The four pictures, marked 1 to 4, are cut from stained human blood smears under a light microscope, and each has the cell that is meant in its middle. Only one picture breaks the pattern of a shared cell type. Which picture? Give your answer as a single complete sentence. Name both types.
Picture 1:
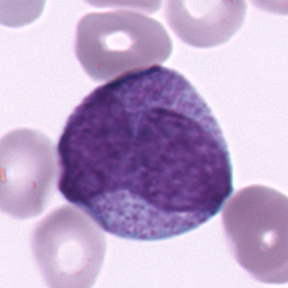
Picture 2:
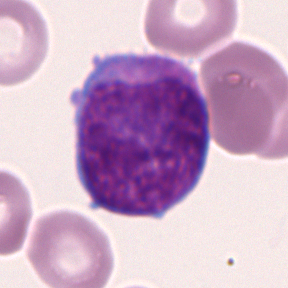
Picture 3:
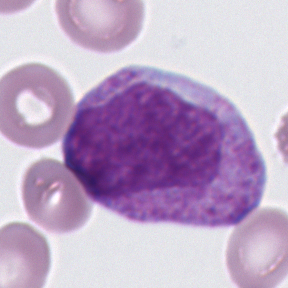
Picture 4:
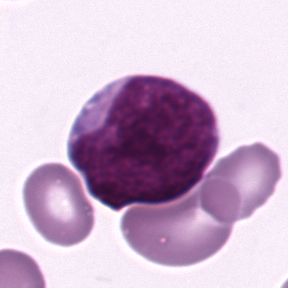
The different one is picture 4; it shows a myeloblast, whereas all the others show atypical promyelocytes.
